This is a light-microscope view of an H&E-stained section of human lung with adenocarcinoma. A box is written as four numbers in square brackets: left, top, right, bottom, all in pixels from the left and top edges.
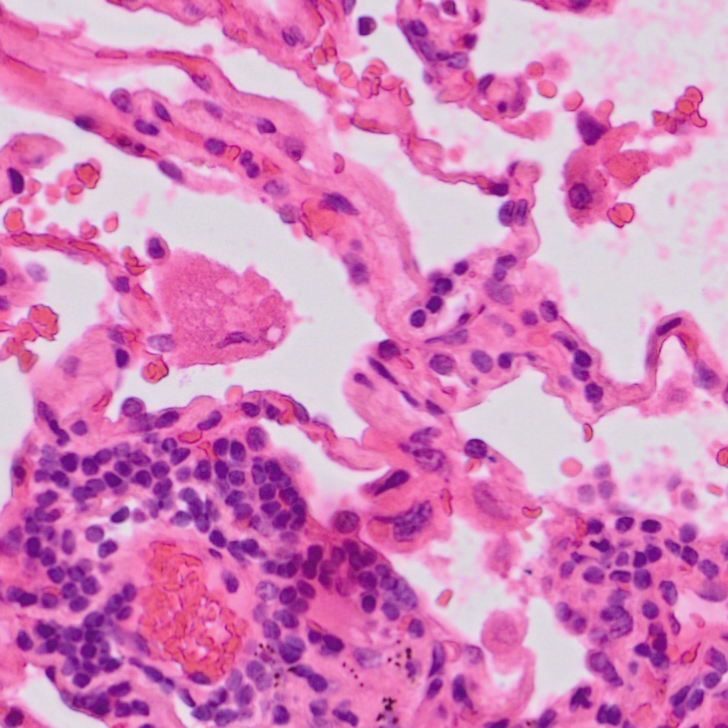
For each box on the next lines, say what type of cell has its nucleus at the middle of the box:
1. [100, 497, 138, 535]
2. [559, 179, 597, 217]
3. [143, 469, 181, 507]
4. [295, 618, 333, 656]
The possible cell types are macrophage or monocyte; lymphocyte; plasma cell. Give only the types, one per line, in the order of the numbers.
lymphocyte
macrophage or monocyte
lymphocyte
lymphocyte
